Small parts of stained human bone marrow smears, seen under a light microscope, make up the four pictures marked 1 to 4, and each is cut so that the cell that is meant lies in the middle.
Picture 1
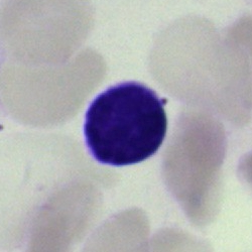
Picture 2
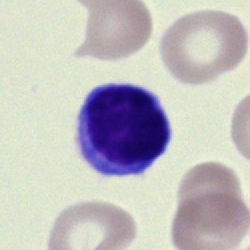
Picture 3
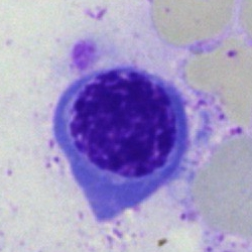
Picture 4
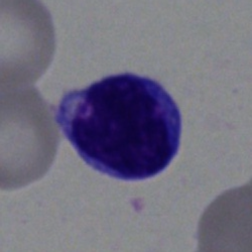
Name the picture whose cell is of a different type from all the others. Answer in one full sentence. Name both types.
Picture 3 differs, because its cell is an erythroblast and the rest are lymphocytes.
